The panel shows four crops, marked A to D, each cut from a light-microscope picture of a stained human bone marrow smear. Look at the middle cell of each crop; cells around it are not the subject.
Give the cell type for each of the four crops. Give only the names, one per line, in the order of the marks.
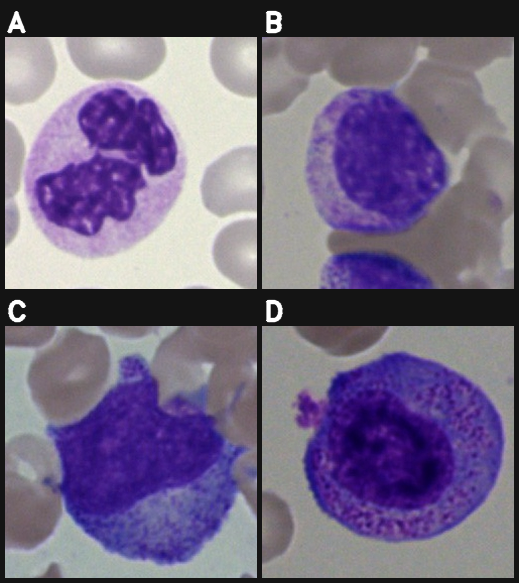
segmented neutrophil
myelocyte
myelocyte
promyelocyte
